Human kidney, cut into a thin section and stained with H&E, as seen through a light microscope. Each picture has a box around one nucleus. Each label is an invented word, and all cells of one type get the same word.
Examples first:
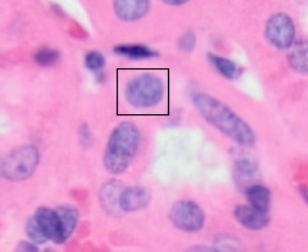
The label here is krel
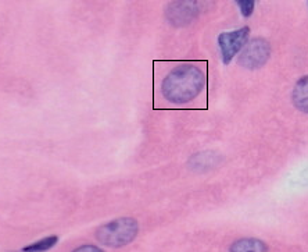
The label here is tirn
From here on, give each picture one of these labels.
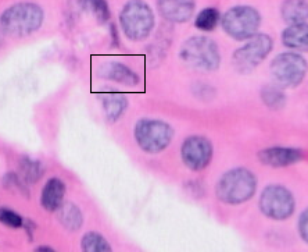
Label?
krel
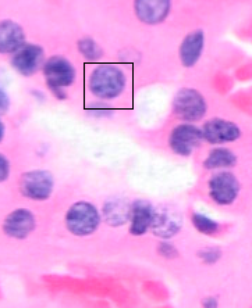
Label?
krel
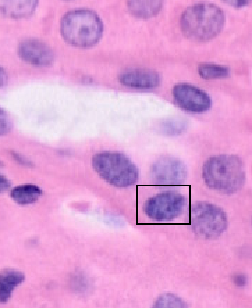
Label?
krel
